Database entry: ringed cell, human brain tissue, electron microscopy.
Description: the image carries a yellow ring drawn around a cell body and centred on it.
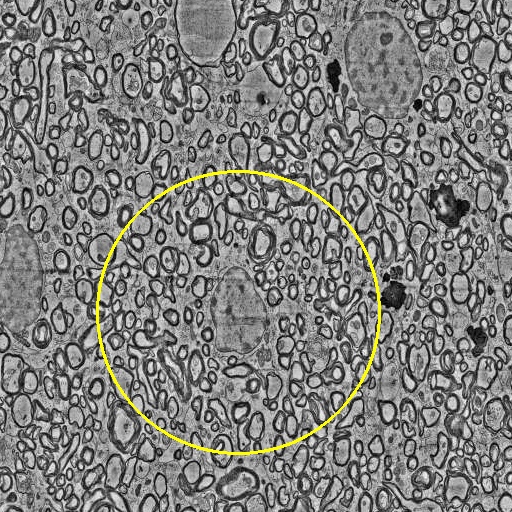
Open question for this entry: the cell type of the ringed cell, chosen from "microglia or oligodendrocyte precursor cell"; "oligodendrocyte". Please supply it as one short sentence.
The ringed cell is a microglial cell or oligodendrocyte precursor cell.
